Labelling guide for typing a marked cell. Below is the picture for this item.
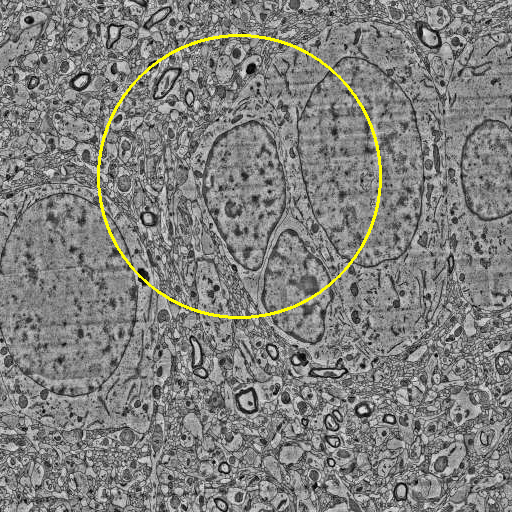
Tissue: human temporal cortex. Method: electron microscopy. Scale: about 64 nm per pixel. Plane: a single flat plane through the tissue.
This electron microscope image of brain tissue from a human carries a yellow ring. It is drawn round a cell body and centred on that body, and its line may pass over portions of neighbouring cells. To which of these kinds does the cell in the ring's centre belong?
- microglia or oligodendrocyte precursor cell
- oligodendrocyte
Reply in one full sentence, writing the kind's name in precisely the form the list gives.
Here we have a microglial cell or oligodendrocyte precursor cell at the centre of the yellow ring in the picture.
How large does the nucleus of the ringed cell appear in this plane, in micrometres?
About 8 by 6 micrometres, the nucleus being clearly longer than it is wide in this plane.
